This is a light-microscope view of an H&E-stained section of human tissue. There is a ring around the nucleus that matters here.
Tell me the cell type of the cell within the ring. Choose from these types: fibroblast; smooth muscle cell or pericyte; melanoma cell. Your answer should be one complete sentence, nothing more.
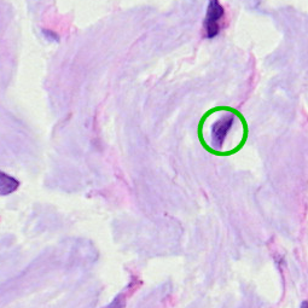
As classified here, the cell within the ring is a fibroblast.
